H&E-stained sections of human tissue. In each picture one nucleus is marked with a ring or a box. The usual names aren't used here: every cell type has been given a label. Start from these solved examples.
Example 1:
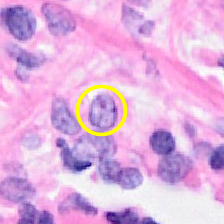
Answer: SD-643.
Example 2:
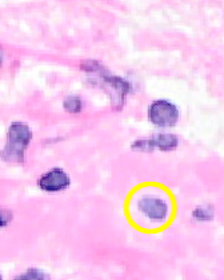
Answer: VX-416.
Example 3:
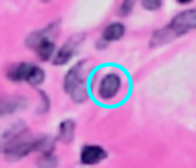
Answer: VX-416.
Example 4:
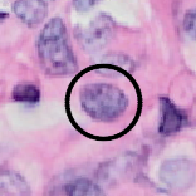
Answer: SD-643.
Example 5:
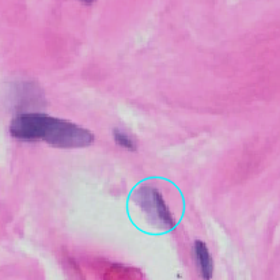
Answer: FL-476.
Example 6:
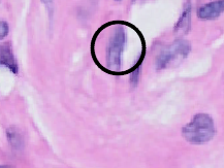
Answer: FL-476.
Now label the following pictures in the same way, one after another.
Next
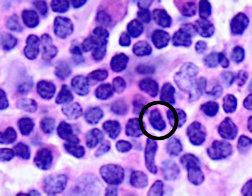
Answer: VX-416.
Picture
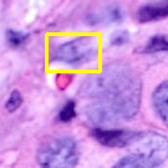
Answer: FL-476.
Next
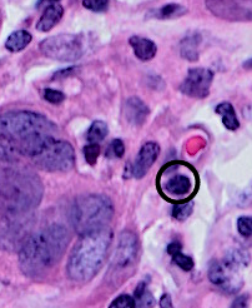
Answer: VX-416.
